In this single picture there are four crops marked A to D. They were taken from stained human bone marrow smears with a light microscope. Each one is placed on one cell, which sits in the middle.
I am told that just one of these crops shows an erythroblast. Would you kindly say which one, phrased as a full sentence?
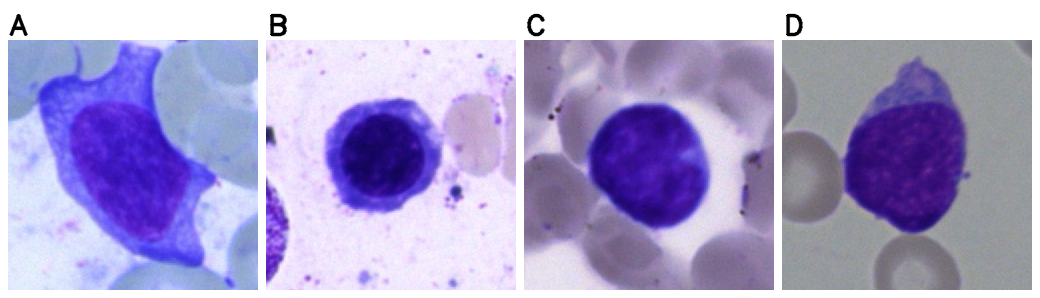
The crop that has an erythroblast in the middle is crop B.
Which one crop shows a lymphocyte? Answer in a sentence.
The sole crop showing a lymphocyte is crop C.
